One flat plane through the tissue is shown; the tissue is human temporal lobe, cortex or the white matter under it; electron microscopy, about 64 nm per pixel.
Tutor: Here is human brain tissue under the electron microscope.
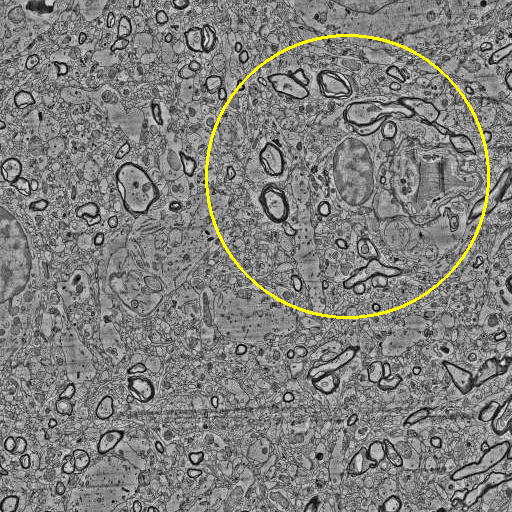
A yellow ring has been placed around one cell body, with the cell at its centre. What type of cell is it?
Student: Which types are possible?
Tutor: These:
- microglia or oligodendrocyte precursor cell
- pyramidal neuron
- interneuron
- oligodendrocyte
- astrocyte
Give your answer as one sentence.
What the ring picks out here is a microglial cell or oligodendrocyte precursor cell.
